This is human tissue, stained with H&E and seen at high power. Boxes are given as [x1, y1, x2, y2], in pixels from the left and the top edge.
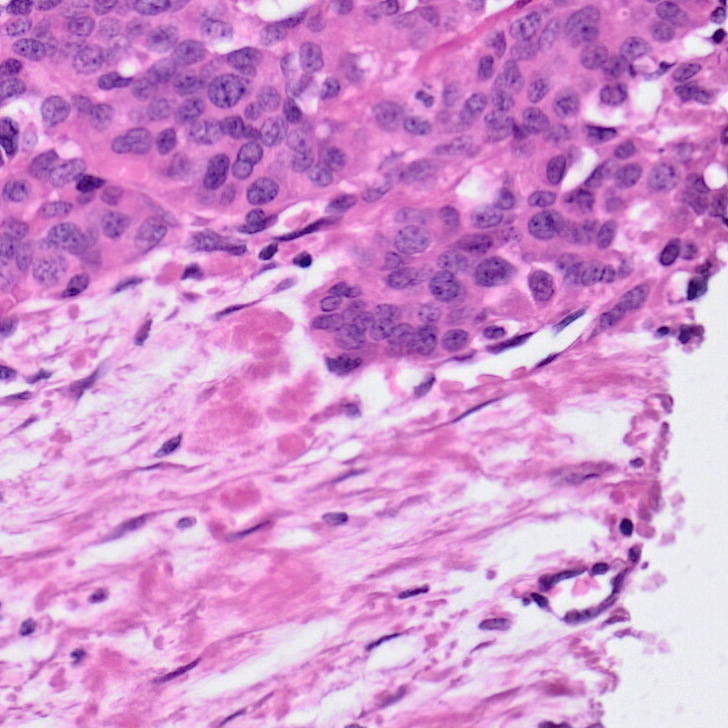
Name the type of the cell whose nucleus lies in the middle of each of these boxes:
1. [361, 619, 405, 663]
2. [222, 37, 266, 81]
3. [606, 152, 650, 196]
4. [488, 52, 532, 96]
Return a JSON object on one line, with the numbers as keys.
{"1": "fibroblast", "2": "carcinoma cell", "3": "carcinoma cell", "4": "carcinoma cell"}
